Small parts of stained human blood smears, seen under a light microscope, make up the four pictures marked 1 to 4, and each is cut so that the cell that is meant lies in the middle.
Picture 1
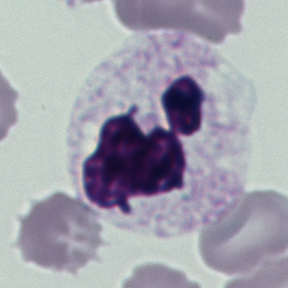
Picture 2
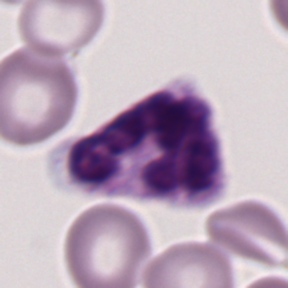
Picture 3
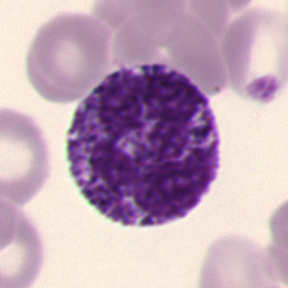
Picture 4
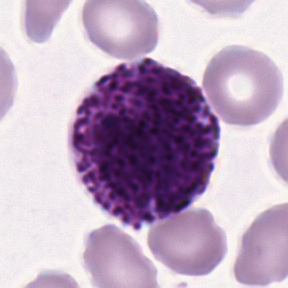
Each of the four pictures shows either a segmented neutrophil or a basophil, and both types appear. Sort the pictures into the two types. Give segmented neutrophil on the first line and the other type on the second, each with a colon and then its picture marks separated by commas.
segmented neutrophil: 1, 2
basophil: 3, 4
